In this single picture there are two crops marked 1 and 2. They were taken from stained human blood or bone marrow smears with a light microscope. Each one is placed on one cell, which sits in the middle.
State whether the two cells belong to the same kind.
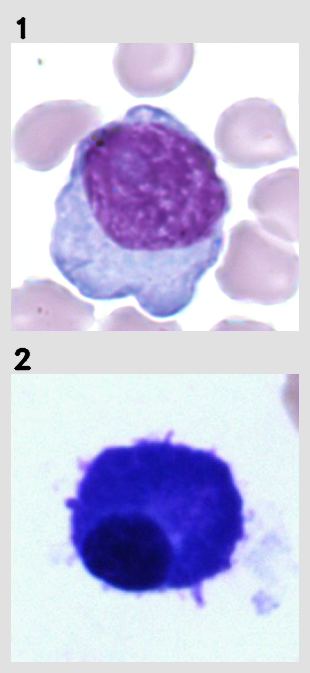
yes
